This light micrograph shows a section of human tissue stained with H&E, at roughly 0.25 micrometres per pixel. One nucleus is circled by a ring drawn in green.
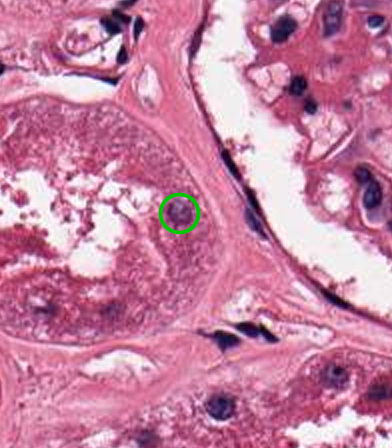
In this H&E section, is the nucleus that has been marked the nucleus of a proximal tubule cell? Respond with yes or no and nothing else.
yes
